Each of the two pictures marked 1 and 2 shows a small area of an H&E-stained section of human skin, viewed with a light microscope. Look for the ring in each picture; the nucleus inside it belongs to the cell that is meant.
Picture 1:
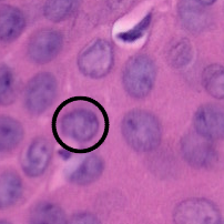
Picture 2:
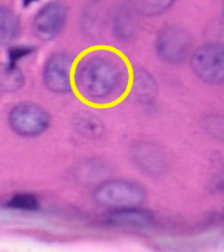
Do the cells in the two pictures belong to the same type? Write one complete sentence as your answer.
Yes, they are the same type: both are suprabasal keratinocytes.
